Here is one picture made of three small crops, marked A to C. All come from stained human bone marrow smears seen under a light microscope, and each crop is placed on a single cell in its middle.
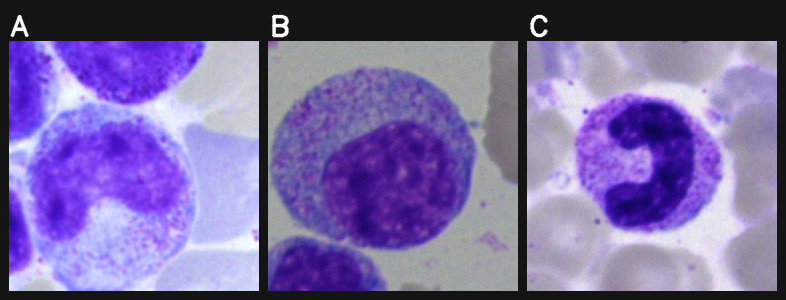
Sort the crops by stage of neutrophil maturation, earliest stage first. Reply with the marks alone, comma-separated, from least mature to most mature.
B, A, C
